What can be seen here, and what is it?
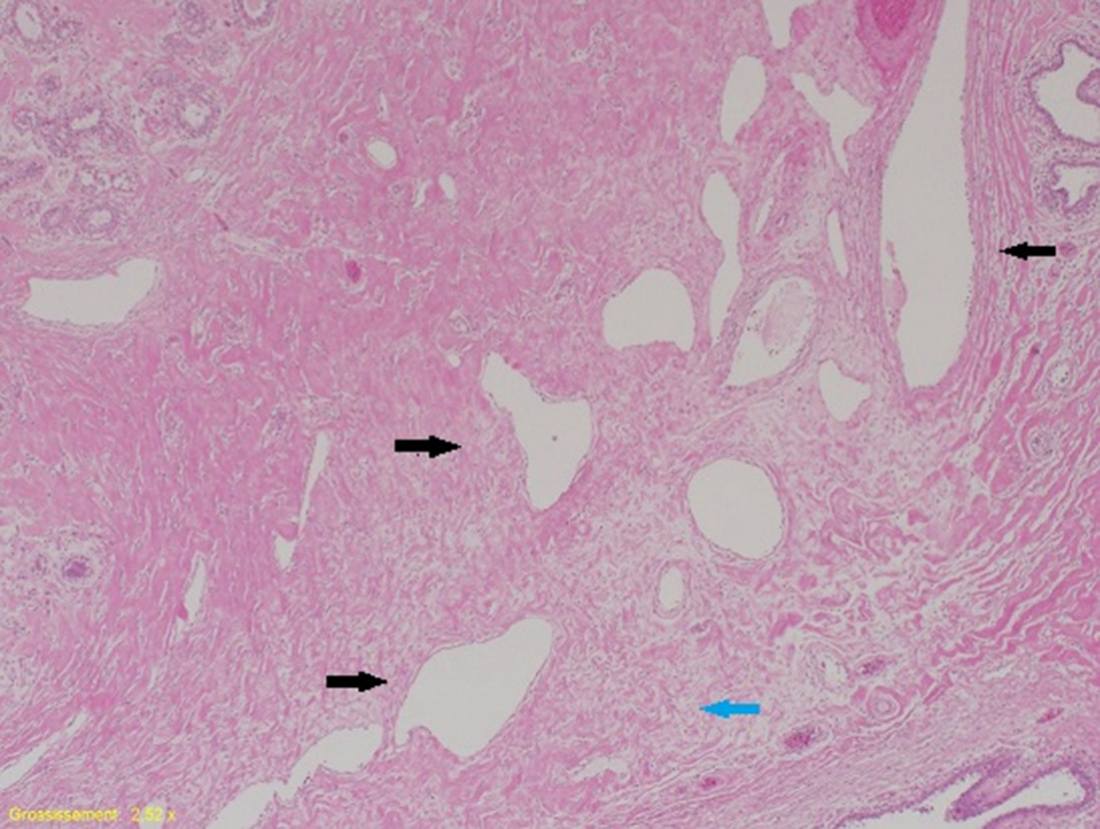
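Low-power view of breast tissue with pink fibrous stroma. Numerous dilated, thin-walled, empty channels of irregular shape run through the stroma. Small glandular ducts and lobules with epithelial linings lie at the upper left and right edges. In the lower middle the stroma is loose and pale, with its fibres spread apart as in oedema.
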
